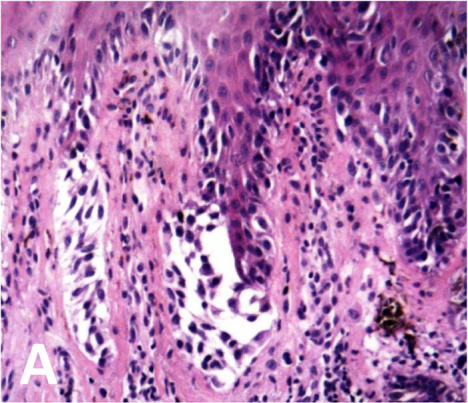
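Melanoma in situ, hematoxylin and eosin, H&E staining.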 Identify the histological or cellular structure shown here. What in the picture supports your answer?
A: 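Rounded clusters of cells sit in clear spaces at the base of the epithelium.
Answer: nests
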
